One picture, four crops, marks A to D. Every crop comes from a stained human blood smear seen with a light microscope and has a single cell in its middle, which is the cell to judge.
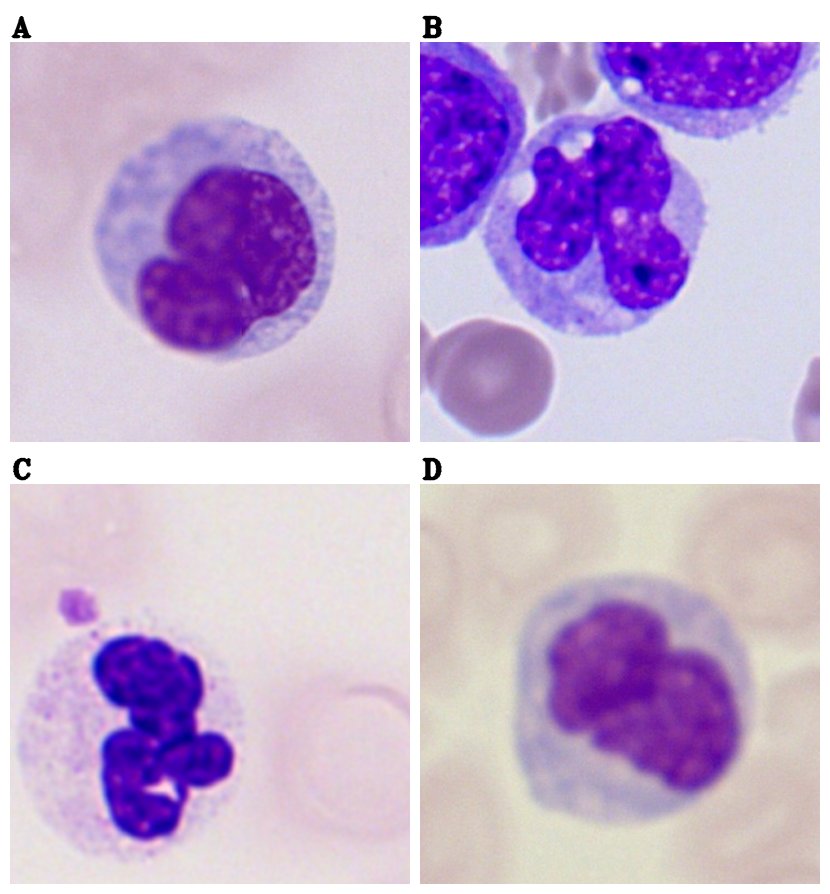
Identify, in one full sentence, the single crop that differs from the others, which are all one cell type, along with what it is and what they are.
As the exception to the monocytes in the other crops, crop C shows a neutrophil.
